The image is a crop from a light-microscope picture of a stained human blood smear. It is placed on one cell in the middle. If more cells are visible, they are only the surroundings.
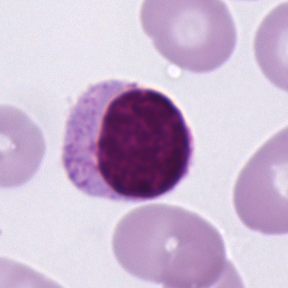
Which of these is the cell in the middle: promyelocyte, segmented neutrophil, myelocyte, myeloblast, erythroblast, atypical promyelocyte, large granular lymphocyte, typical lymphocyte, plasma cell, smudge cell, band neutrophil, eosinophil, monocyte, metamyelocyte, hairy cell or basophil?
large granular lymphocyte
